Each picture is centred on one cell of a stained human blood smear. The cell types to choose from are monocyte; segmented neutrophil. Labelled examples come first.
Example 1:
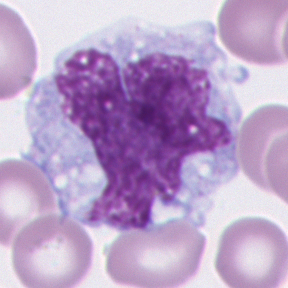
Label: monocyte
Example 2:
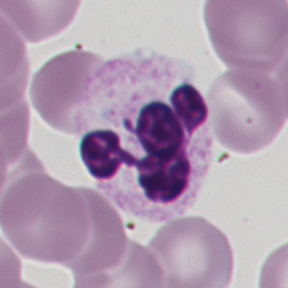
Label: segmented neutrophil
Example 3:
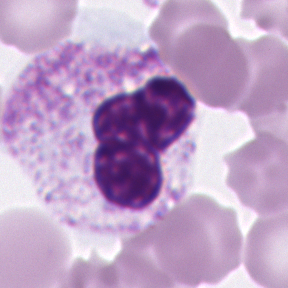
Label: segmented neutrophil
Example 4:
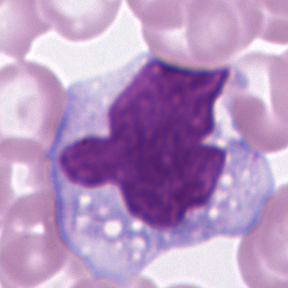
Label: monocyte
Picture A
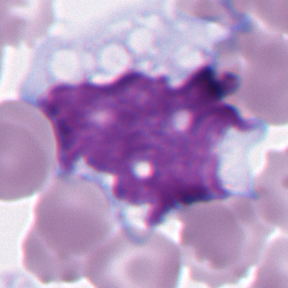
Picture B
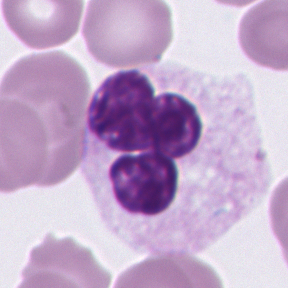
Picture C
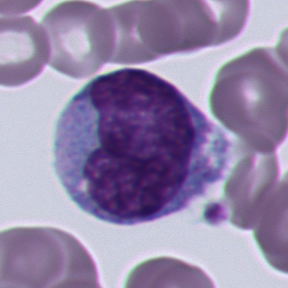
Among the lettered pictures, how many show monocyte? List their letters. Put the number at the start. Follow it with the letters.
2, namely A, C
